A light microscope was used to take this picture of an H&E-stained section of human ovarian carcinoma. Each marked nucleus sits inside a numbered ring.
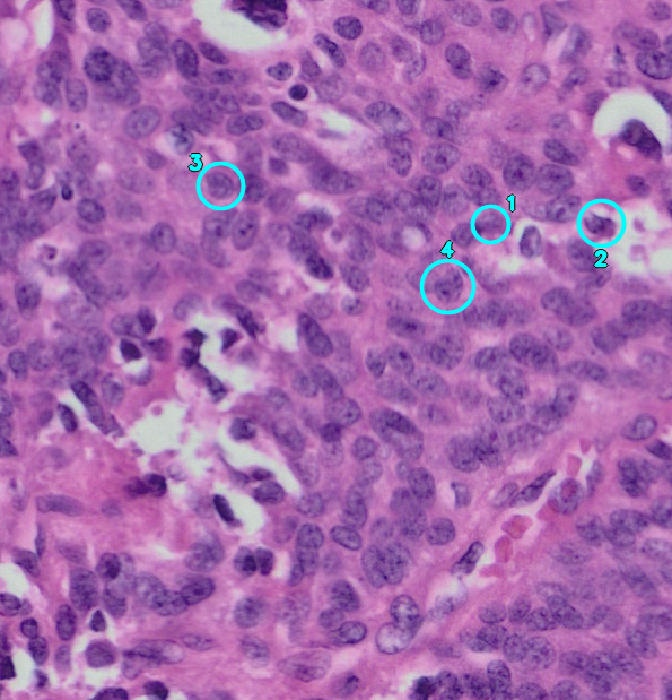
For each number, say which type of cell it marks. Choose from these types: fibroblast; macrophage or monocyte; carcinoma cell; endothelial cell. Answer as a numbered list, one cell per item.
1. carcinoma cell
2. macrophage or monocyte
3. carcinoma cell
4. macrophage or monocyte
